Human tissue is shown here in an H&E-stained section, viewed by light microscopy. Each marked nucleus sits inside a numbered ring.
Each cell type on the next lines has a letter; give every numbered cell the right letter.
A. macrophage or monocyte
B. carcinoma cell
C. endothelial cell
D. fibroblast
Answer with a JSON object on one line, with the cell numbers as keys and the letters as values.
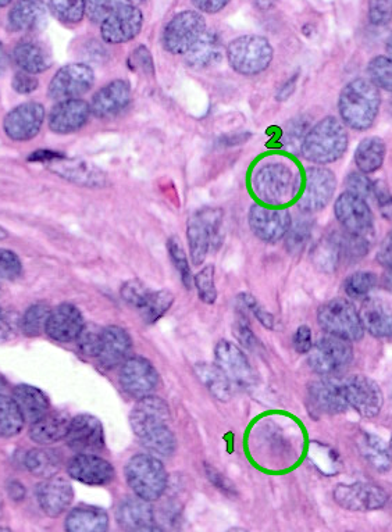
{"1": "D", "2": "B"}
